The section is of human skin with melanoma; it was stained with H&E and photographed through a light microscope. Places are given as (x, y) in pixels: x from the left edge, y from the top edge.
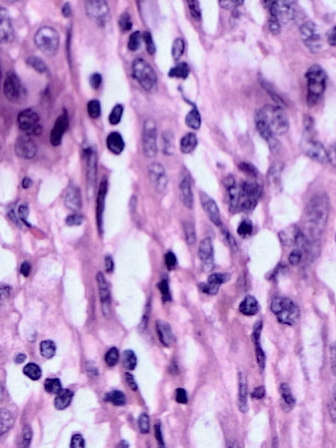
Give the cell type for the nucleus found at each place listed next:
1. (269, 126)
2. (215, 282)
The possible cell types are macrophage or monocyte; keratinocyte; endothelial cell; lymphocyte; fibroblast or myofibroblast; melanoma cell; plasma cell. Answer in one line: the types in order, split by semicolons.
melanoma cell; lymphocyte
